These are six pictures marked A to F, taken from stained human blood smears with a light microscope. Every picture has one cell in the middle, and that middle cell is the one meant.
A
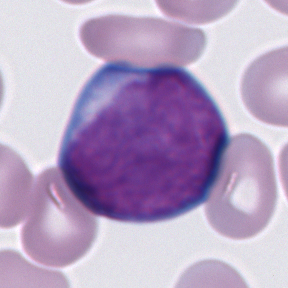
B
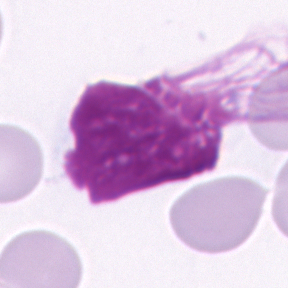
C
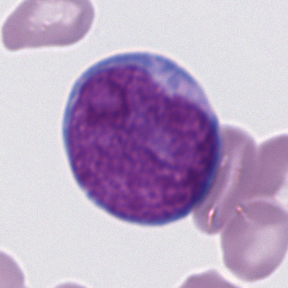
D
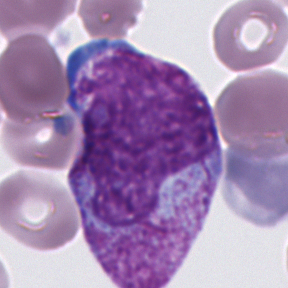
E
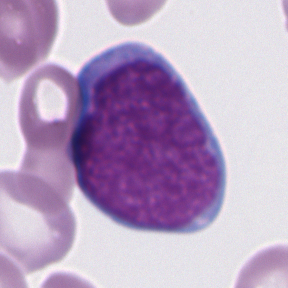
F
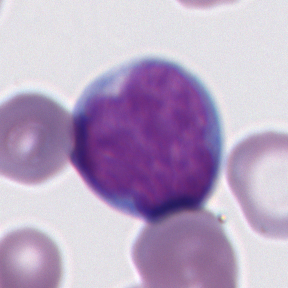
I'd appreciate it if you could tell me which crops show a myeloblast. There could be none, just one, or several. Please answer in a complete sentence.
As for crops A, C, E and F, they show myeloblasts.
